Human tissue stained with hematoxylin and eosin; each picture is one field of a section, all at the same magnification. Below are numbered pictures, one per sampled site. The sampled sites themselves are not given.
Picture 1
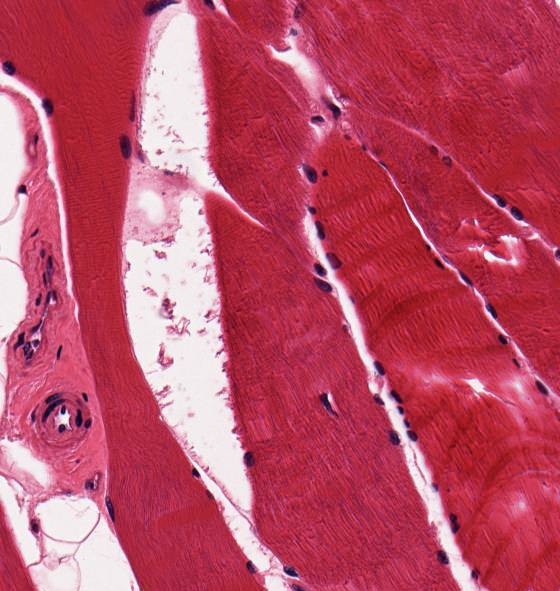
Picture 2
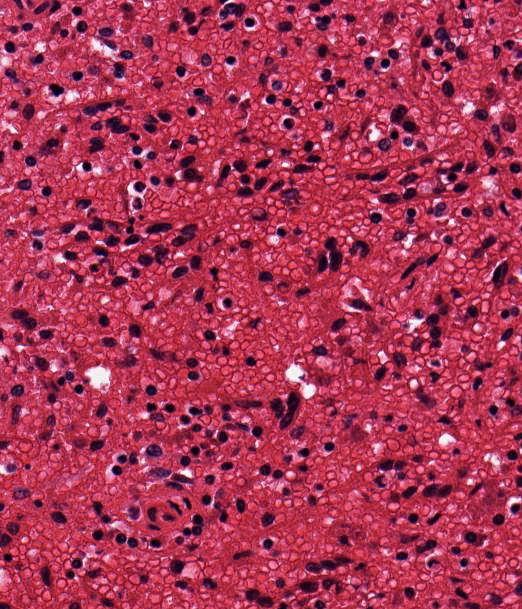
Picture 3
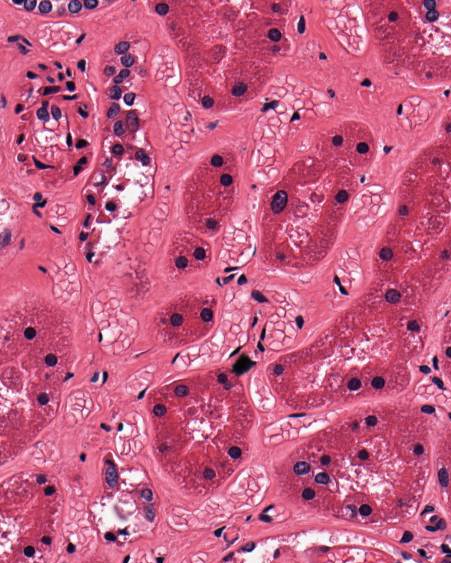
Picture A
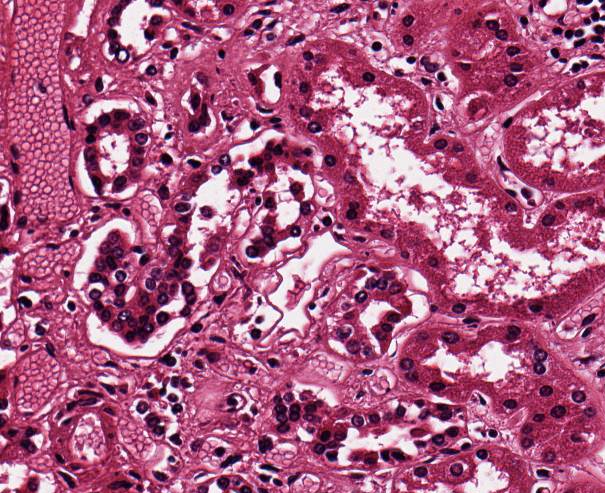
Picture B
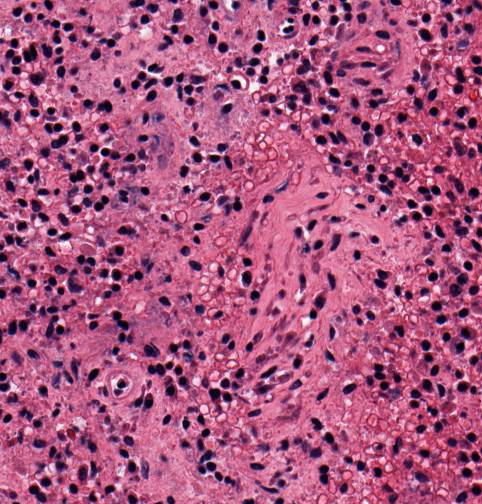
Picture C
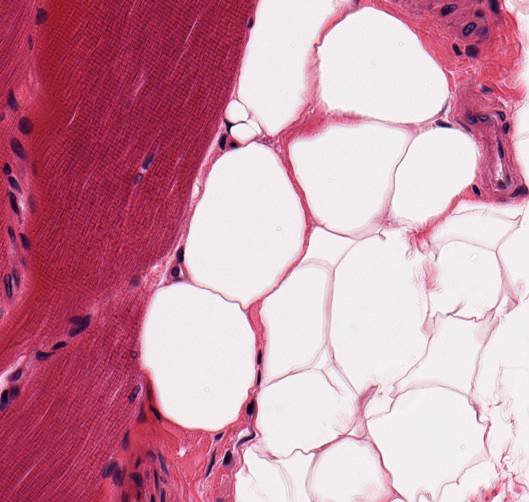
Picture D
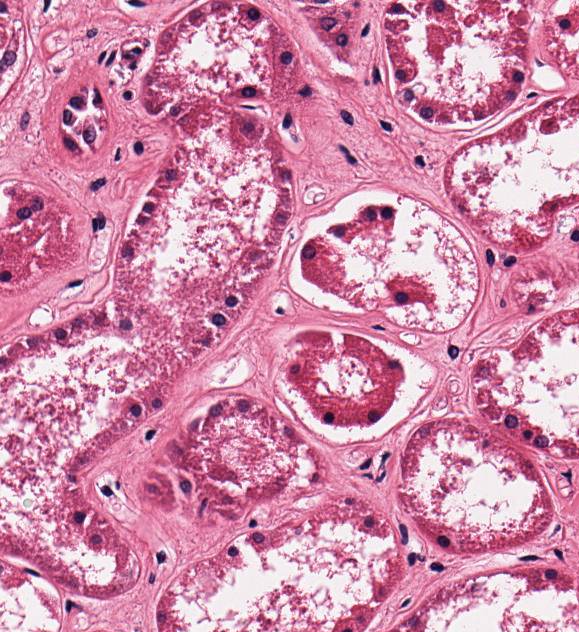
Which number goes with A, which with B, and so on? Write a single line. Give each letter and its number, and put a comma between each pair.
A 3, B 2, C 1, D 3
